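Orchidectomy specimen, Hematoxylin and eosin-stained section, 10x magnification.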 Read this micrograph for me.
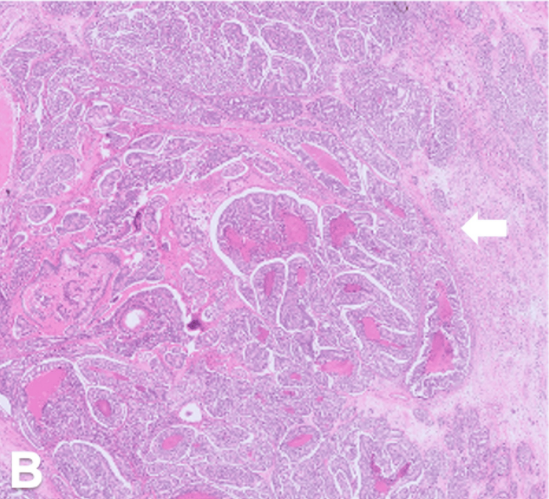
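Several lumina and clefts hold homogeneous pink secretion. At the right edge the tumor abuts paler pink fibrous stroma.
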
